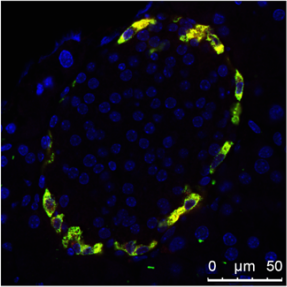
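A roughly oval pancreatic islet is seen, outlined by a discontinuous ring of yellow cells at its periphery. These peripheral cells are small and irregular, with granular cytoplasm around the nucleus, and sit singly or in short groups along the rim. The interior of the islet shows only closely spaced round blue nuclei without yellow, green or red label. A few purely green spots appear at the edge. Around the islet lie blue nuclei of the neighbouring tissue.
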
